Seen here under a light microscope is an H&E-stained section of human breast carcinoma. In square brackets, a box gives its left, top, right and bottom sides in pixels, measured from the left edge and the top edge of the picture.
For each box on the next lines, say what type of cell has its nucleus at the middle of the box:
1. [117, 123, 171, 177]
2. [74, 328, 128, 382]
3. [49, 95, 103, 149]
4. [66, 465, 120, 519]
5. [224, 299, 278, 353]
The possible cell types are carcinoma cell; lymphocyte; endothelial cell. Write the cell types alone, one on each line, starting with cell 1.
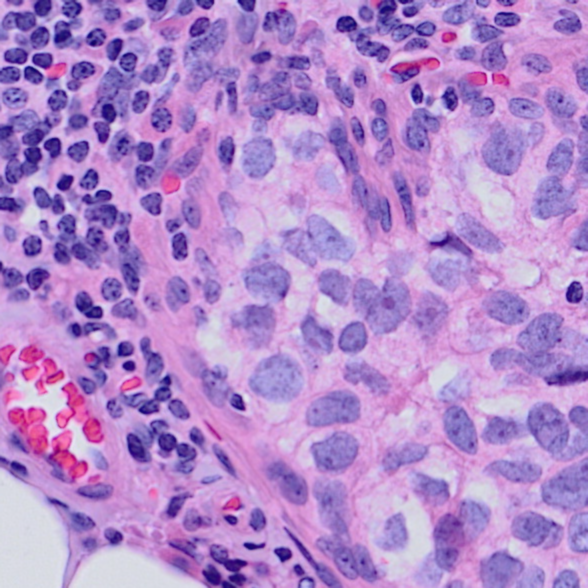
lymphocyte
lymphocyte
lymphocyte
endothelial cell
carcinoma cell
